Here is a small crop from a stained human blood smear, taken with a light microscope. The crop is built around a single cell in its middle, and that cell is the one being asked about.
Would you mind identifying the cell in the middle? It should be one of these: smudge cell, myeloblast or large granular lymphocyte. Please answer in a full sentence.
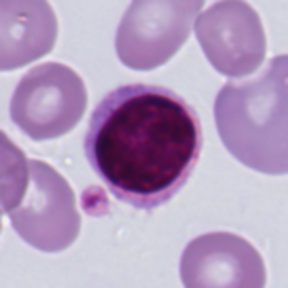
The cell featured at the centre of this crop is a large granular lymphocyte.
